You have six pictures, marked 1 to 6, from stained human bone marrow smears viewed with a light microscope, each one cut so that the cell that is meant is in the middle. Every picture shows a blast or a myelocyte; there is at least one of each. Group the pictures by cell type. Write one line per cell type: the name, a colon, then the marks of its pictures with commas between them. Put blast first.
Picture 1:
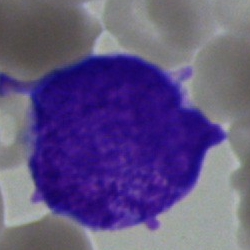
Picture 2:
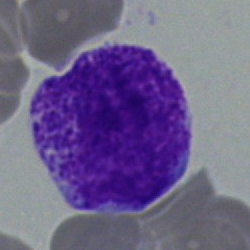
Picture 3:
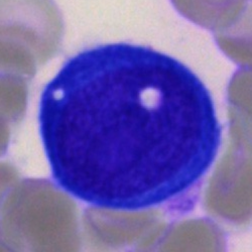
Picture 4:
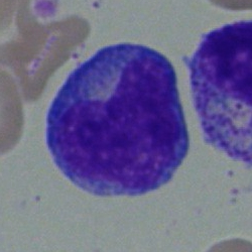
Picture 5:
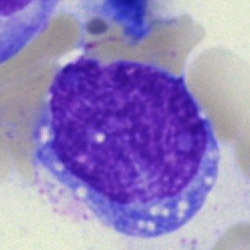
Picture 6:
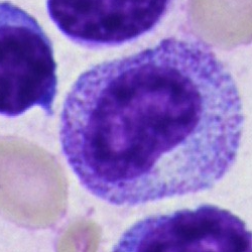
blast: 1, 3, 4, 5
myelocyte: 2, 6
